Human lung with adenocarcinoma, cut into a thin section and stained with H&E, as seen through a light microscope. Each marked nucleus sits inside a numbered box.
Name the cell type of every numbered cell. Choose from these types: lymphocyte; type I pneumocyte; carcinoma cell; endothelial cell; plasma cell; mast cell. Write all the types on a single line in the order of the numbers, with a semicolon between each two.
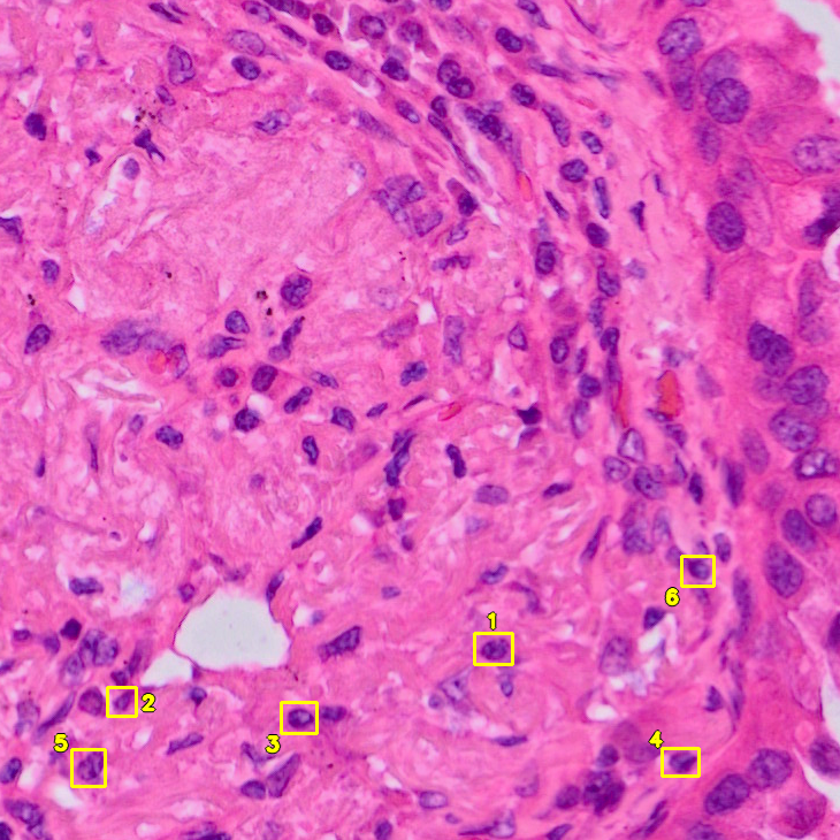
plasma cell; plasma cell; plasma cell; lymphocyte; plasma cell; lymphocyte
